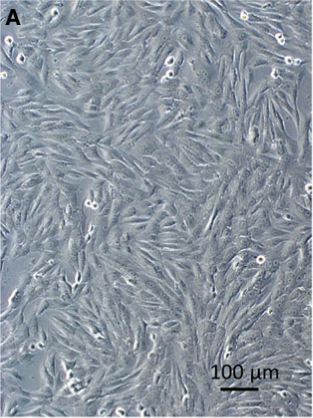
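The cells are elongated and spindle-shaped, with tapering ends, and lie side by side in parallel streams that swirl in different directions across the field. The culture is nearly confluent, with little free space between the cells. A few small, round, bright-rimmed cells are scattered over the layer.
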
